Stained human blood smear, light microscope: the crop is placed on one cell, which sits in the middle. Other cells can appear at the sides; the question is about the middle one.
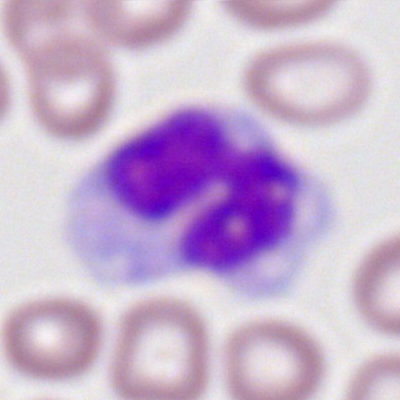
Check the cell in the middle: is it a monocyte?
yes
